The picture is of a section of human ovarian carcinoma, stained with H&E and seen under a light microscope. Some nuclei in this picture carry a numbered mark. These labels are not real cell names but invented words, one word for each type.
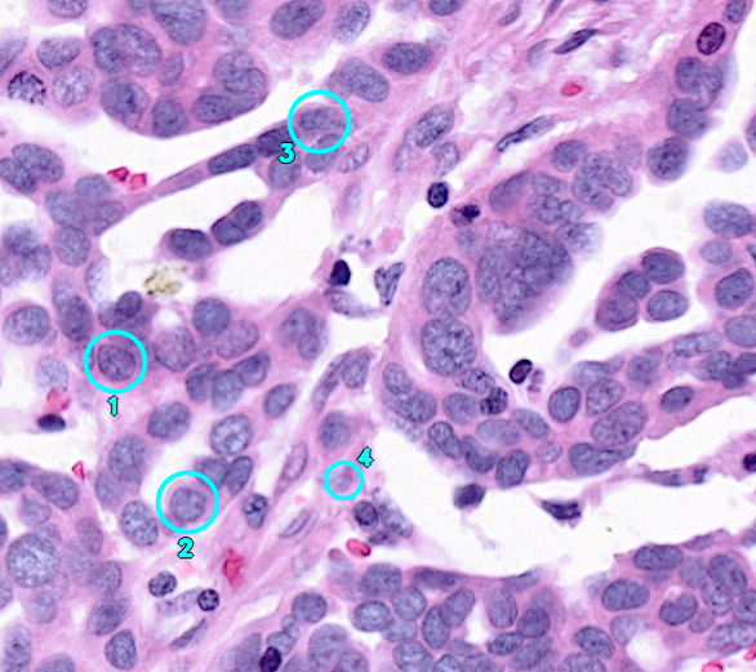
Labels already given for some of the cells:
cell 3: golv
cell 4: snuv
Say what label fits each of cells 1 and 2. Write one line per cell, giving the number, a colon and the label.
1: golv
2: golv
